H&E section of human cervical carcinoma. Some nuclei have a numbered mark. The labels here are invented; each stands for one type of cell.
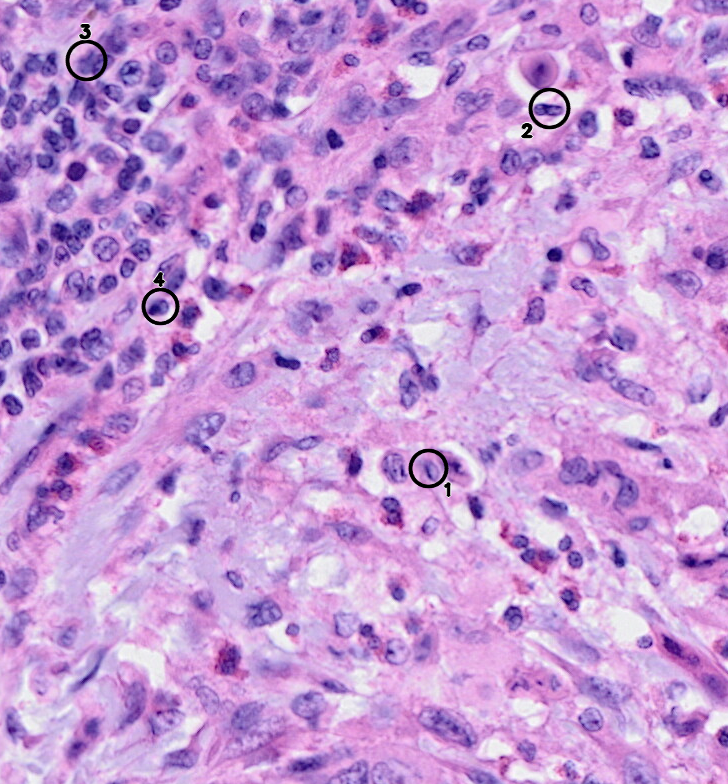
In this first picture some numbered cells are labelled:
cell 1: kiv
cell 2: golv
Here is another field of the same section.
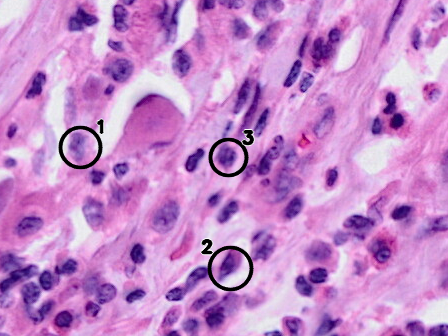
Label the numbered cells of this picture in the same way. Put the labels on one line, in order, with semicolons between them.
kiv; kiv; golv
